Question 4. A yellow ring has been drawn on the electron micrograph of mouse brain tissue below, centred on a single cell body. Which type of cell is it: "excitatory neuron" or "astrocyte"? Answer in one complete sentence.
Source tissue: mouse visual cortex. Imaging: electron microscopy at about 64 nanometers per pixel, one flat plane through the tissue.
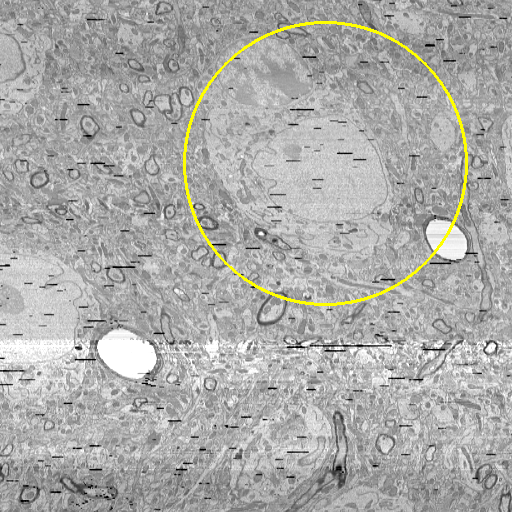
This cell body belongs to an excitatory neuron.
